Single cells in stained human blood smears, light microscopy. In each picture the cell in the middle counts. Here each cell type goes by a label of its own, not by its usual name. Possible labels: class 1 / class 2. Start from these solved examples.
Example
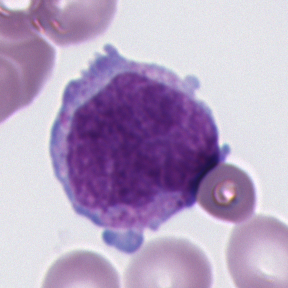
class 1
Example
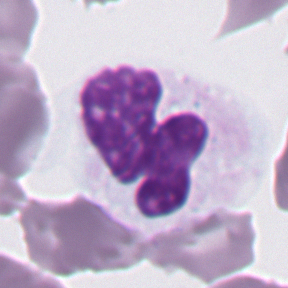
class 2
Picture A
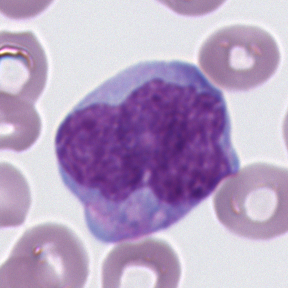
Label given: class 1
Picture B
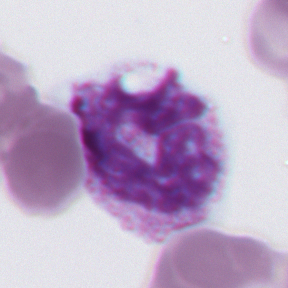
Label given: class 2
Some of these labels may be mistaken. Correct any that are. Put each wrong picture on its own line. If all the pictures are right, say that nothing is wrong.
Nothing to fix; every label fits.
